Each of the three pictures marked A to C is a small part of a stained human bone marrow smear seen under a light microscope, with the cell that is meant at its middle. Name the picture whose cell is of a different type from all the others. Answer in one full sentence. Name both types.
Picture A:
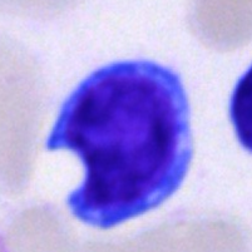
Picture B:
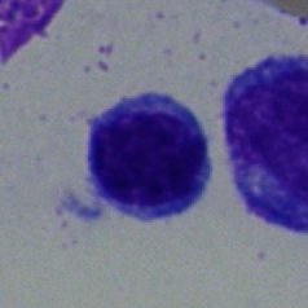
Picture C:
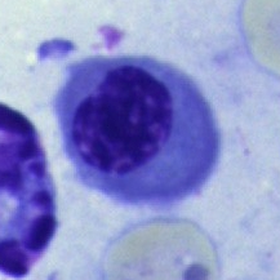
Picture C is the odd one out: it shows an erythroblast, while the others show lymphocytes.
